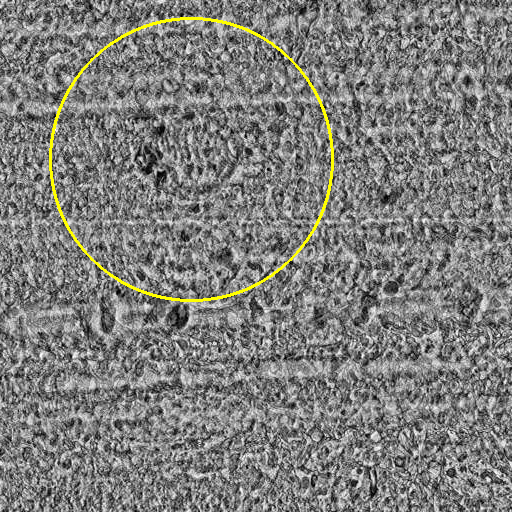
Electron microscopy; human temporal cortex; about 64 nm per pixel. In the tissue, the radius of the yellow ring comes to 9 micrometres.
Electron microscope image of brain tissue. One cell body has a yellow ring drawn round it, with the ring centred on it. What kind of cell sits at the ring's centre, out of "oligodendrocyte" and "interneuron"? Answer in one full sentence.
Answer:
It is an oligodendrocyte whose cell body sits at the centre of the yellow ring.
